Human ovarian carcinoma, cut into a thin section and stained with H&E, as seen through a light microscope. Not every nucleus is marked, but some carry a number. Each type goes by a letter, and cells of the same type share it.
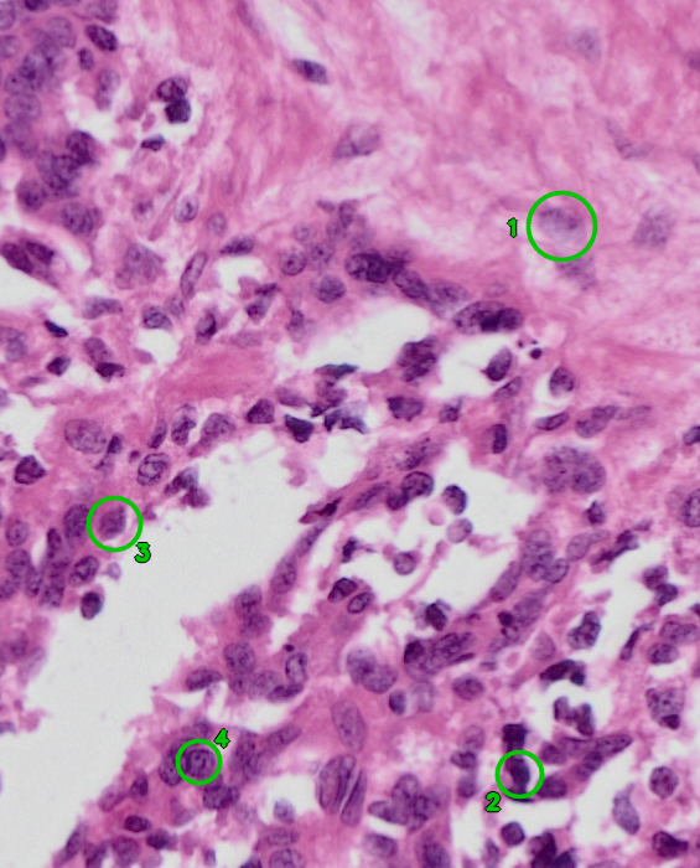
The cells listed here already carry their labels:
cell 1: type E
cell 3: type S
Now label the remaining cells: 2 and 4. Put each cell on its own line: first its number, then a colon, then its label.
2: type S
4: type S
